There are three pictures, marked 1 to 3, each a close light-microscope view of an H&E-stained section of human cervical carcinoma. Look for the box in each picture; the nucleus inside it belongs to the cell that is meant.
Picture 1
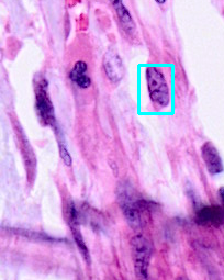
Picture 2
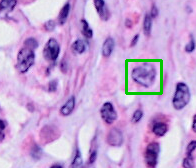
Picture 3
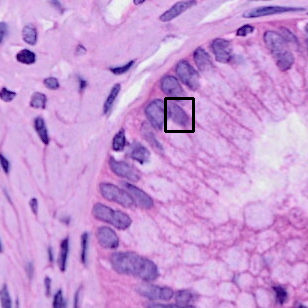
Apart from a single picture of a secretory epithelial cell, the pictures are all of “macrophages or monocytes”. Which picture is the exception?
3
